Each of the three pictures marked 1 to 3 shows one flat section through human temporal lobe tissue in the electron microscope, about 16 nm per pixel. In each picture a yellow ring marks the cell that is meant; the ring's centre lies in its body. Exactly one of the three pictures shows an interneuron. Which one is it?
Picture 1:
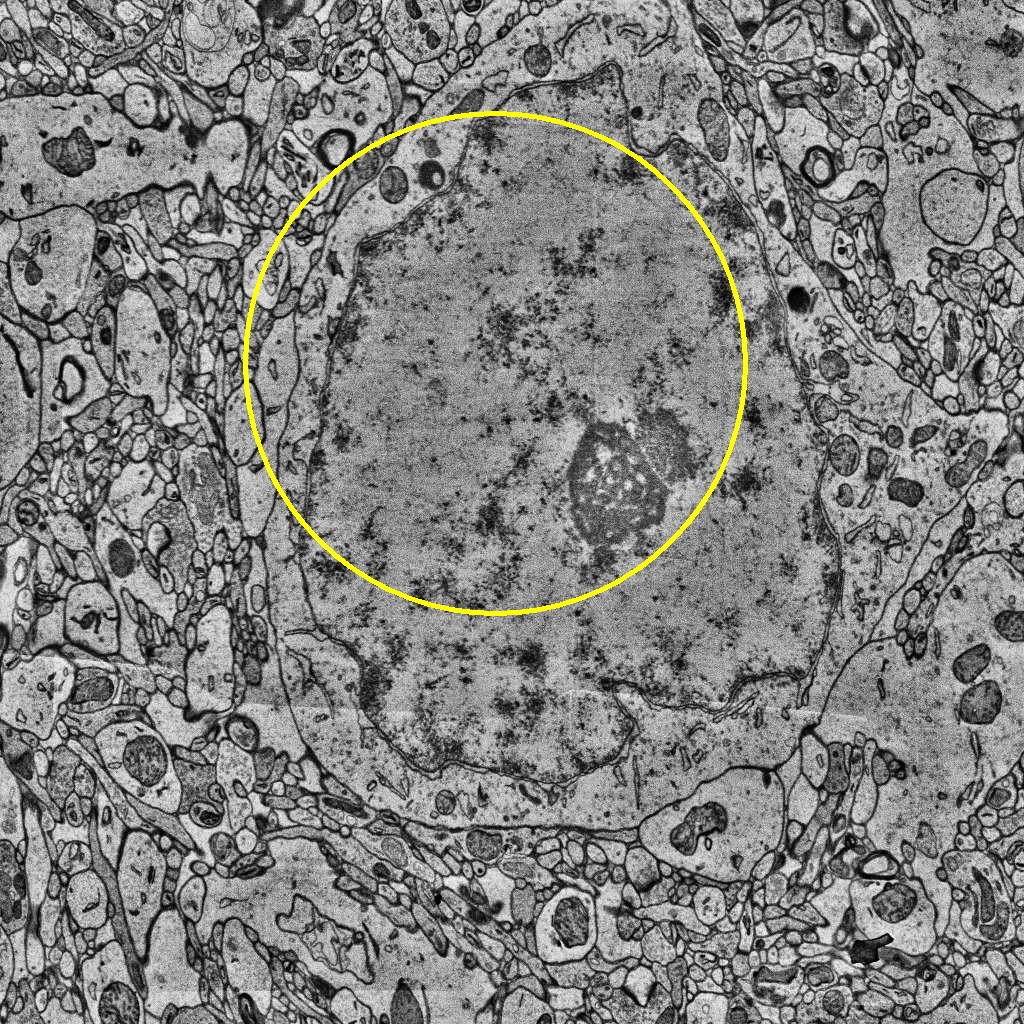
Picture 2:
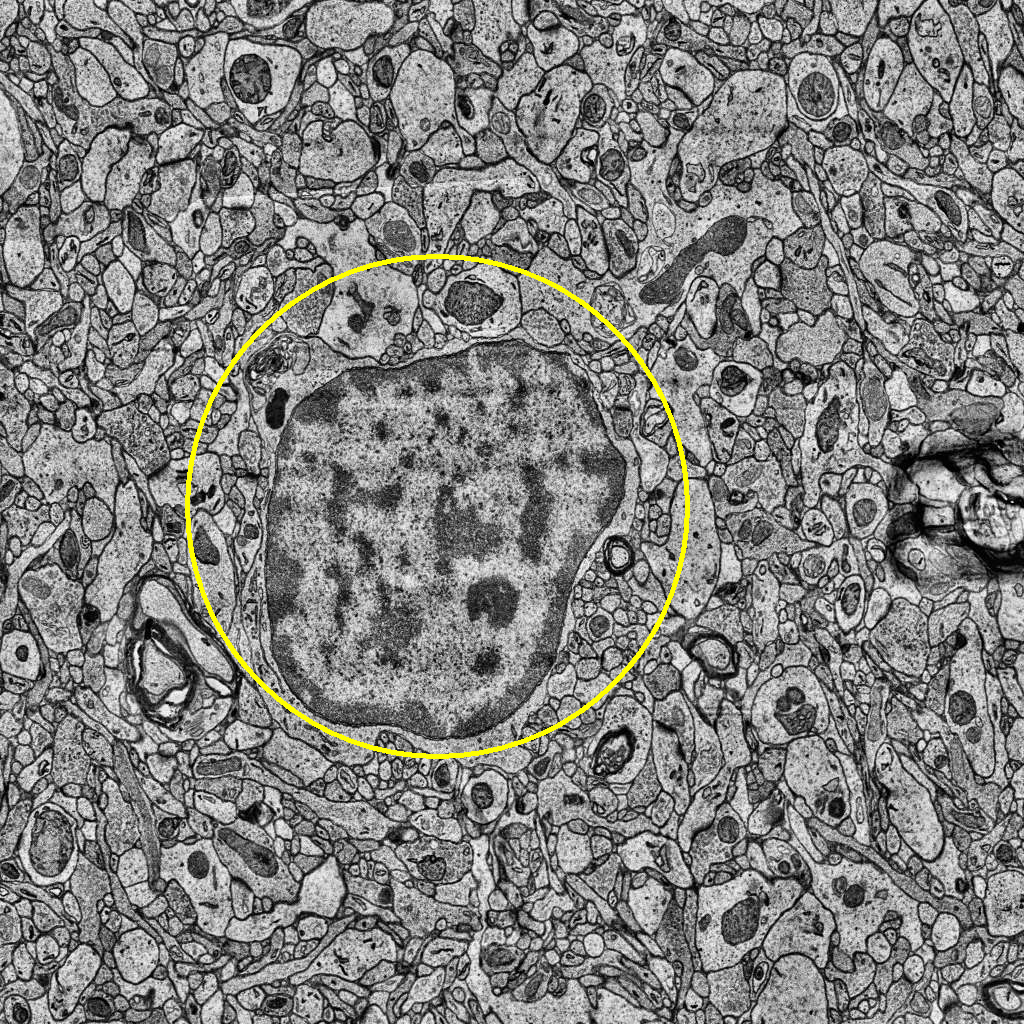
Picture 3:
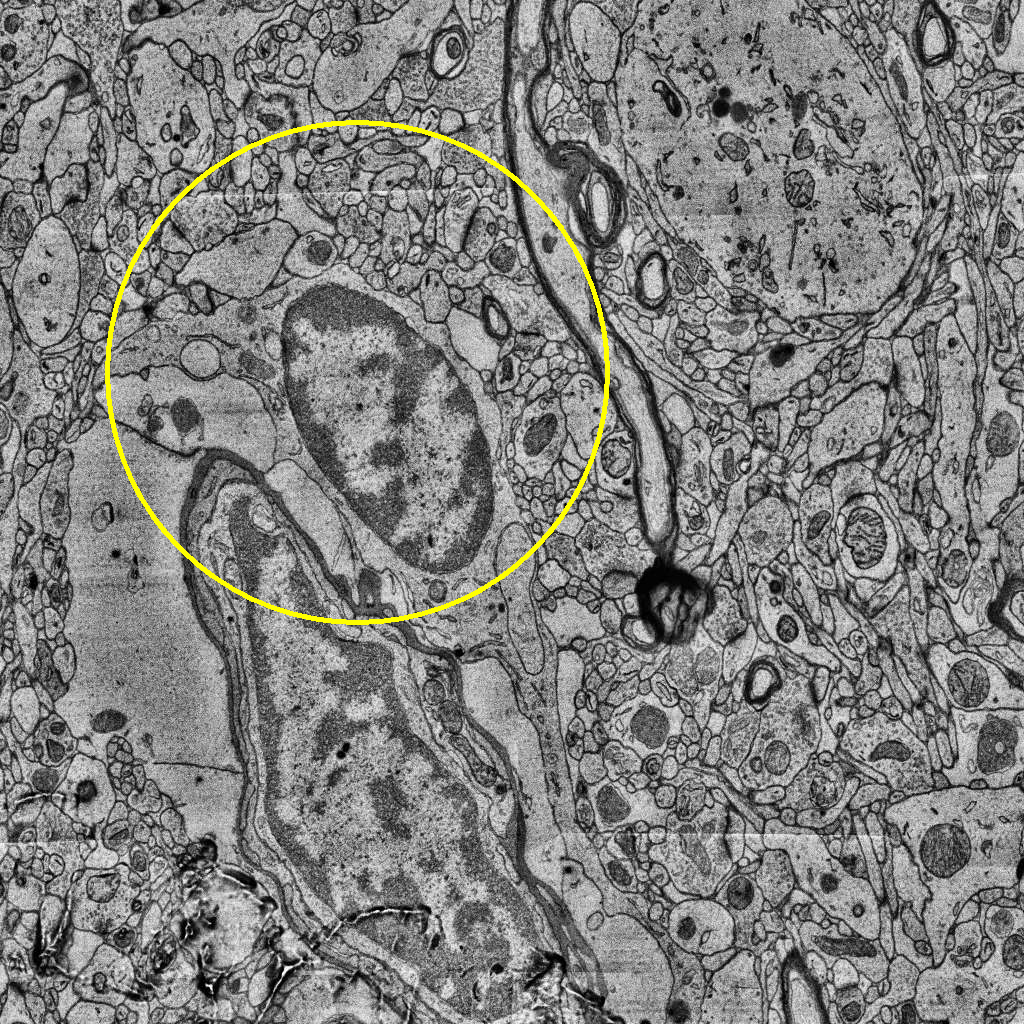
The interneuron is the one in picture 1.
